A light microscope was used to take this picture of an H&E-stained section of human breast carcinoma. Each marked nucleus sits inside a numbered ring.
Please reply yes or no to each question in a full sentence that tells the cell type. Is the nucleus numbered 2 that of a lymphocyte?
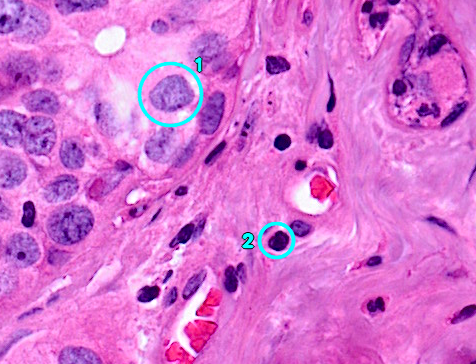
Yes, the cell at marker 2 is a lymphocyte.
